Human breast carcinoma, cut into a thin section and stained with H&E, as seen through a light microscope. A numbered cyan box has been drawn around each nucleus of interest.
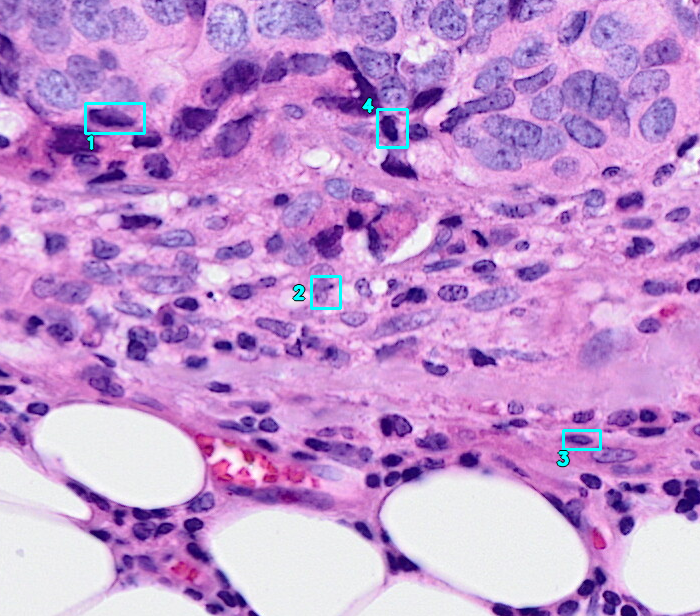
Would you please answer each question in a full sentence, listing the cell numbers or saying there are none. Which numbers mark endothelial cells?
Being an endothelial cell is true of cell 3 and of no other numbered cell.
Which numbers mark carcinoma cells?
Identification: the cells with numbers 1 and 4 are carcinoma cells.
